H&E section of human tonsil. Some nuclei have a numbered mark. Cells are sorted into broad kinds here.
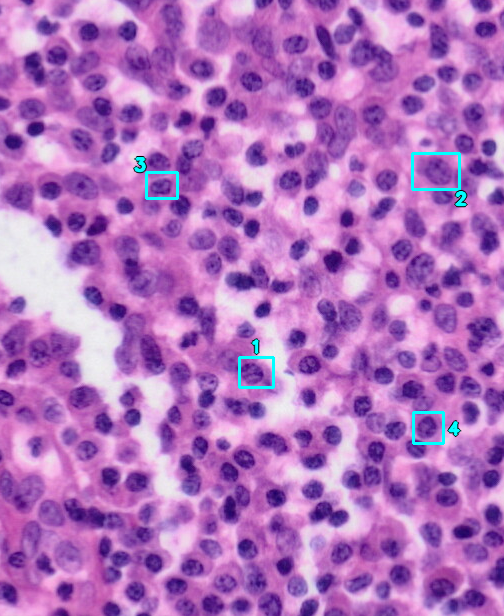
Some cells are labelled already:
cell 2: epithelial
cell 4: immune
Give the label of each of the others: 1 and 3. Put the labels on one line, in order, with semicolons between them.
immune; immune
